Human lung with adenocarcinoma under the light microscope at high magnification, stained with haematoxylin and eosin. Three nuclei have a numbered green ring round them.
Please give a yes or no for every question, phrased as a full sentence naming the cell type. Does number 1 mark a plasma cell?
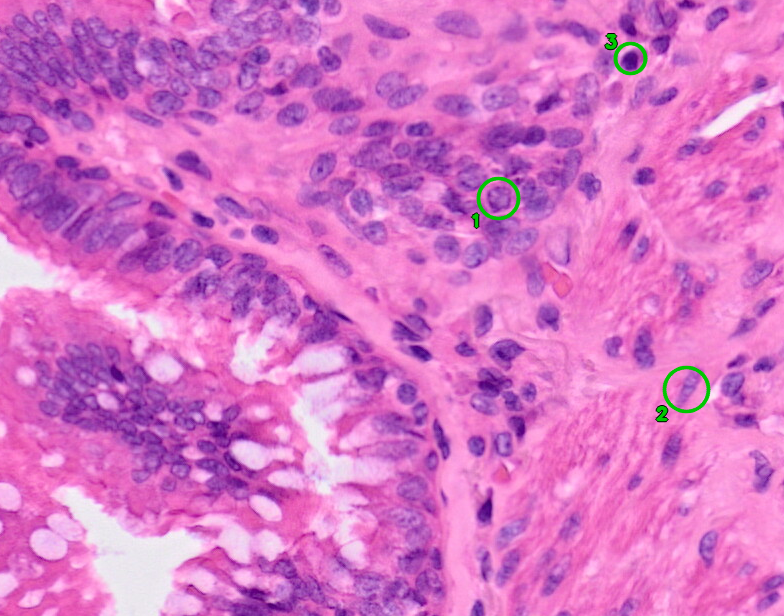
No, cell 1 is not a plasma cell; a ciliated epithelial cell is correct.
